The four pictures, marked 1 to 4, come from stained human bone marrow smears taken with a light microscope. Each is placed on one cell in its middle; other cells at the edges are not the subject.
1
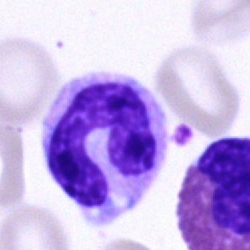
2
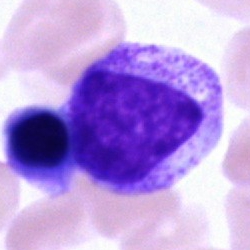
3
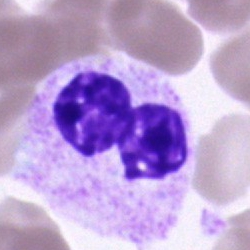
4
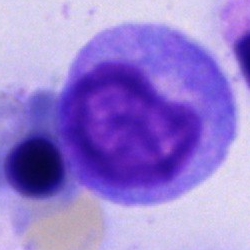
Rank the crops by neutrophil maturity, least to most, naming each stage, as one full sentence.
Arranged by increasing maturity, the sequence is crop 4 (a promyelocyte), crop 2 (a myelocyte), crop 1 (a band neutrophil) and crop 3 (a segmented neutrophil).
